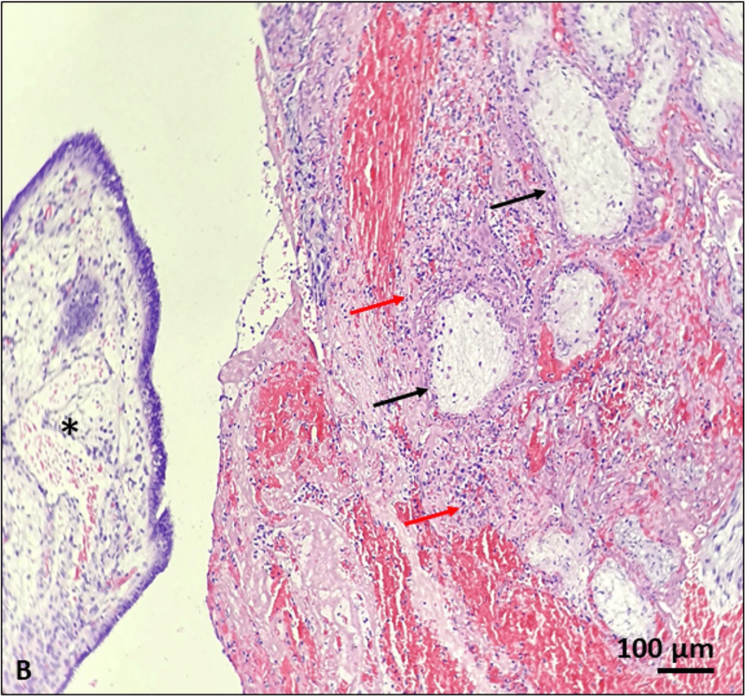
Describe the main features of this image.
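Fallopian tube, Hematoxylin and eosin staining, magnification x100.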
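This section shows chorionic villi lying among blood cells, fibrin and cell debris, next to a mucosal fold with tubal epithelium. The villi appear as rounded to oval pale structures with a loose, lightly stained core, each bordered by a thin rim of darker cells with purple nuclei. Around them lie bright red sheets of erythrocytes and pink fibrillar material scattered with purple nuclei and fragments. To the left, separated by an empty space, a finger-like mucosal fold with a loose pale core is covered by a single layer of tall columnar cells with densely packed purple nuclei.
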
